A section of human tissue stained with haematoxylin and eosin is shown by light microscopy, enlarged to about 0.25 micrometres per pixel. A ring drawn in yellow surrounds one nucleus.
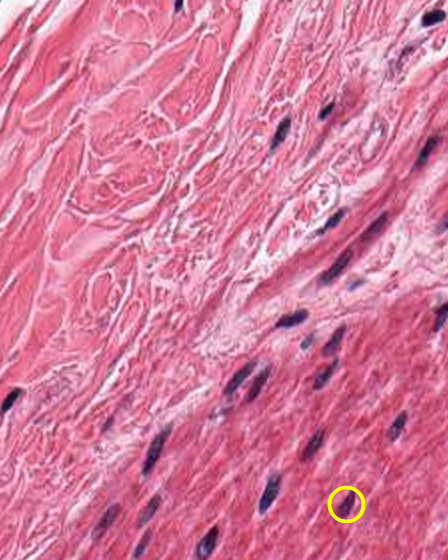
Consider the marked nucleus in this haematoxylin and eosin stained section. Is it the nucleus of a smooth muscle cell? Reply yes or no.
yes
